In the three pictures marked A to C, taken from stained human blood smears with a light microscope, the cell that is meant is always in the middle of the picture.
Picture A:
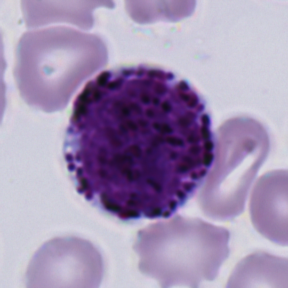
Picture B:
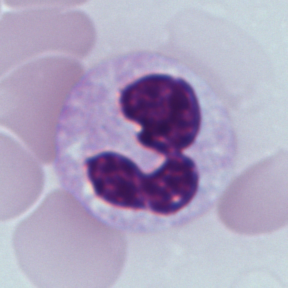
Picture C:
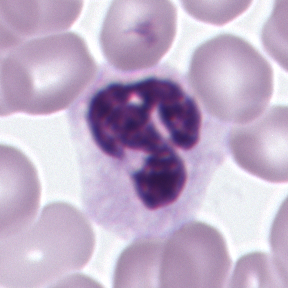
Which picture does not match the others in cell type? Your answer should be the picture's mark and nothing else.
A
